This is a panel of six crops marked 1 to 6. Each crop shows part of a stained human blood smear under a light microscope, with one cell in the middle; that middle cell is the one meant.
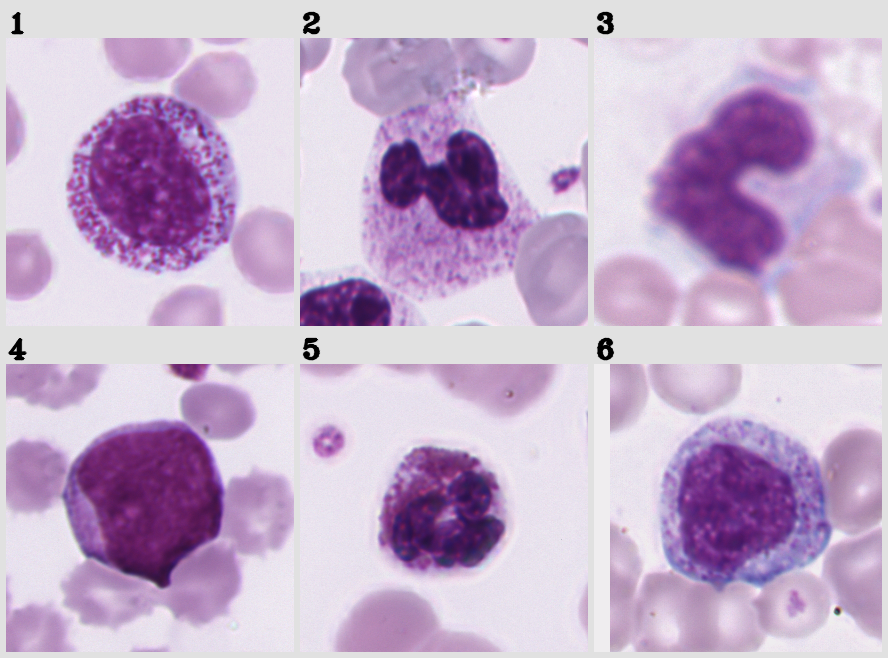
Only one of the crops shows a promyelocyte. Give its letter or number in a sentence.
As for which crop shows a promyelocyte, it is crop 6.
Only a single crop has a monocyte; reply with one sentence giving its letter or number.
Crop 3 matches the request, showing a monocyte.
